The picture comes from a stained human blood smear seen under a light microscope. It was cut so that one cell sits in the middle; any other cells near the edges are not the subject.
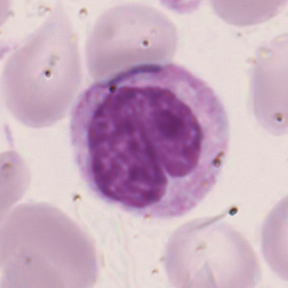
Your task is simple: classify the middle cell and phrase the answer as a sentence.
The centrally positioned cell in the crop represents a band neutrophil.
